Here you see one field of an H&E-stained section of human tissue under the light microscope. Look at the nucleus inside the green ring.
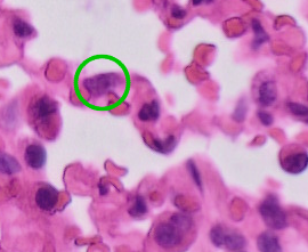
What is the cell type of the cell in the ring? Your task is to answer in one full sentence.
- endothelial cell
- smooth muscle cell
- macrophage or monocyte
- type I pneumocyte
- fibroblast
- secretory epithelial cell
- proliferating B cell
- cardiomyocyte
In this section, the cell in the ring is a type I pneumocyte.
